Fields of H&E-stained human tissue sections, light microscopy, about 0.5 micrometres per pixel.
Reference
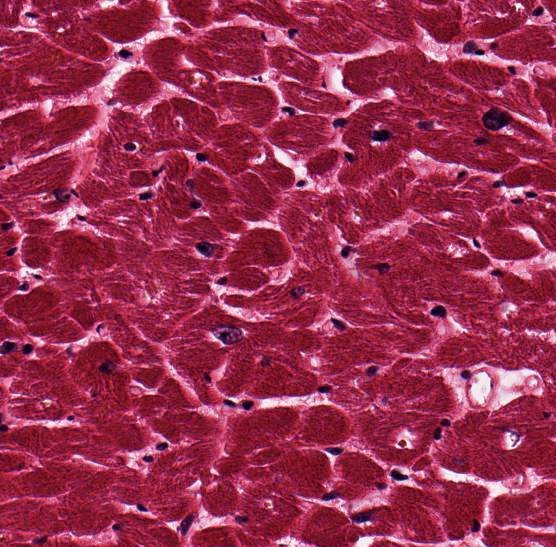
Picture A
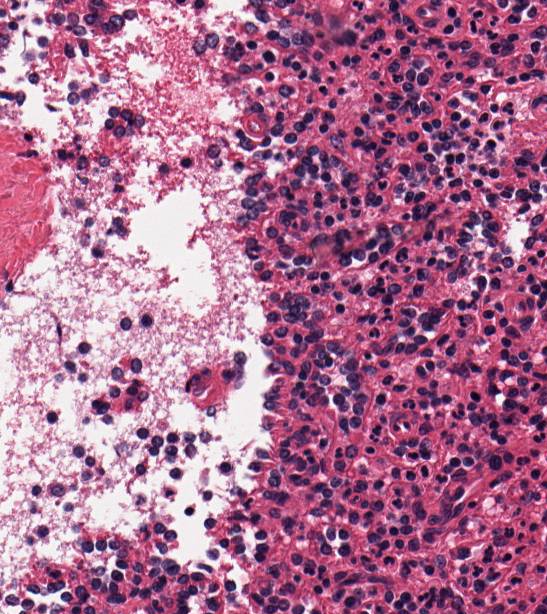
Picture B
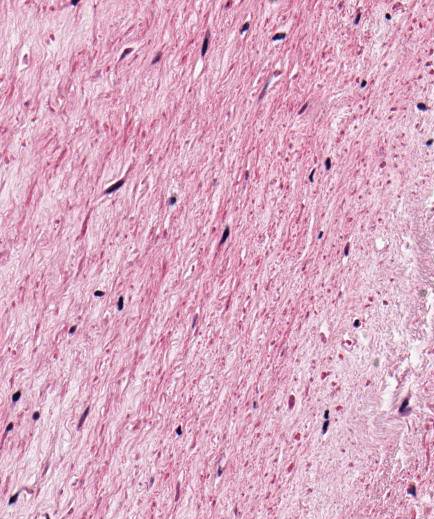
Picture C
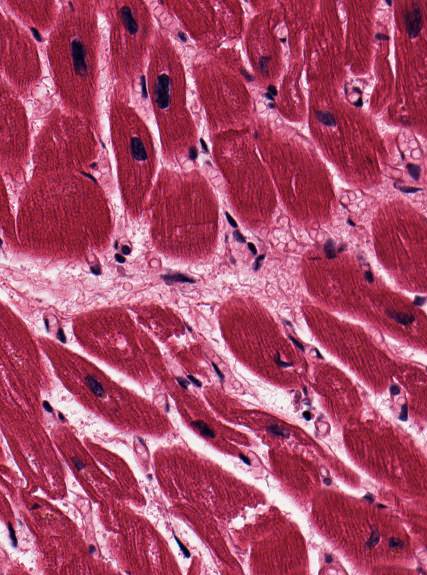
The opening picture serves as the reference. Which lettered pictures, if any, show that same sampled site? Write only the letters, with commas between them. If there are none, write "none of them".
C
